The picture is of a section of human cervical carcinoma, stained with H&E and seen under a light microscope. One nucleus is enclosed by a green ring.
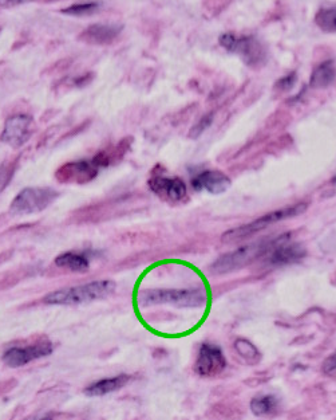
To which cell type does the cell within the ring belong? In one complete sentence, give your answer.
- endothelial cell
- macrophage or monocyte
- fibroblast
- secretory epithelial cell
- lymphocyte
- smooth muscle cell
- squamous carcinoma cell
Recorded by type, the cell within the ring is a fibroblast.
